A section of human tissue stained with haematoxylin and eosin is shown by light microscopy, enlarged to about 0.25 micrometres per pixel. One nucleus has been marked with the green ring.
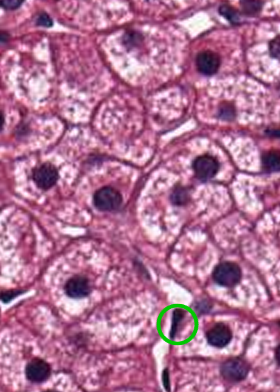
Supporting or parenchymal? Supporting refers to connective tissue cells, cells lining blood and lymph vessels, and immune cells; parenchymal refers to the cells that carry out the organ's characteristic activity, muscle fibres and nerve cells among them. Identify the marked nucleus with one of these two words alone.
supporting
